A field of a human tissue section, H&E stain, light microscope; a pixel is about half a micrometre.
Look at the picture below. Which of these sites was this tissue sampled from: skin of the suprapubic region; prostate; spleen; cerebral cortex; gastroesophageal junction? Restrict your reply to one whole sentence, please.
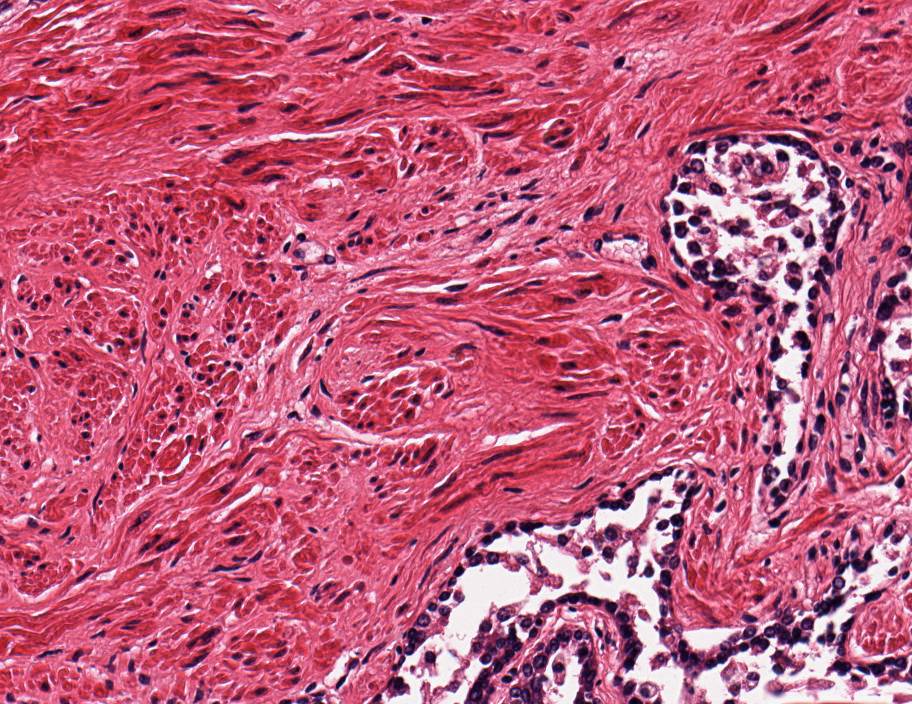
The specimen was sampled from the prostate.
